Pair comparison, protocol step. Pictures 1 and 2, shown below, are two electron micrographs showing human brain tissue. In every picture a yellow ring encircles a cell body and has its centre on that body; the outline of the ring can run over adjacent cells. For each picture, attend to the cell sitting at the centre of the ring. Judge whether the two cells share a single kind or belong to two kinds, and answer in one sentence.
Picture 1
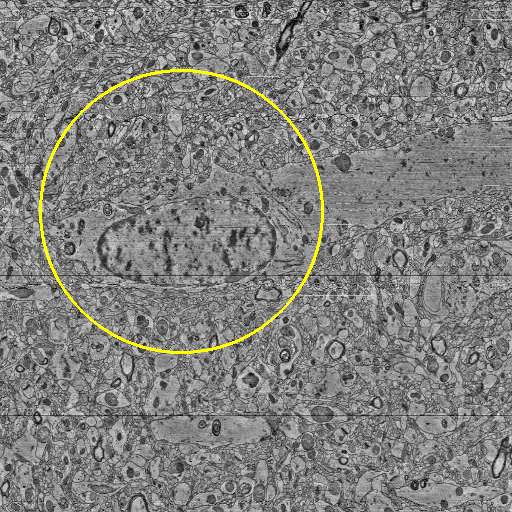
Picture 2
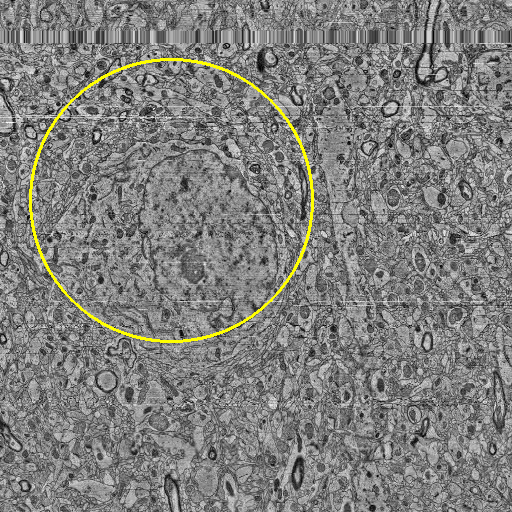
The two cells at the ring centres in Picture 1 and Picture 2 belong to two kinds.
